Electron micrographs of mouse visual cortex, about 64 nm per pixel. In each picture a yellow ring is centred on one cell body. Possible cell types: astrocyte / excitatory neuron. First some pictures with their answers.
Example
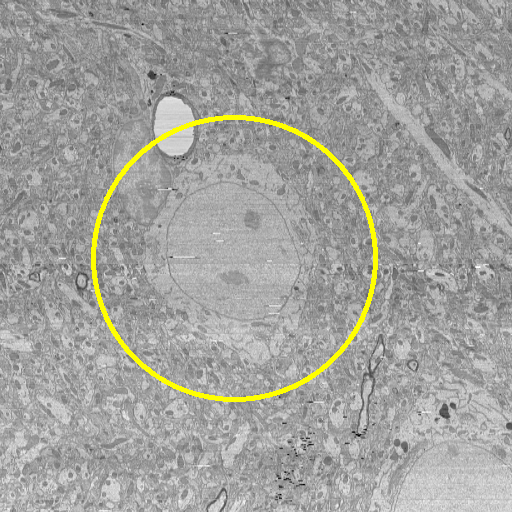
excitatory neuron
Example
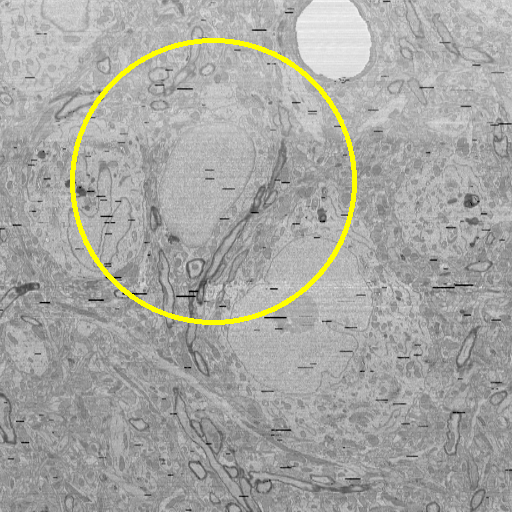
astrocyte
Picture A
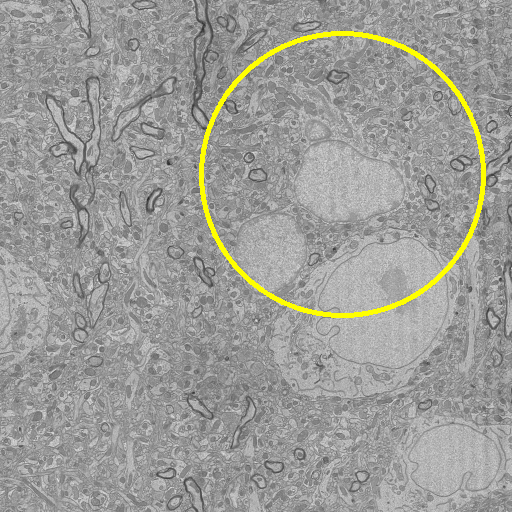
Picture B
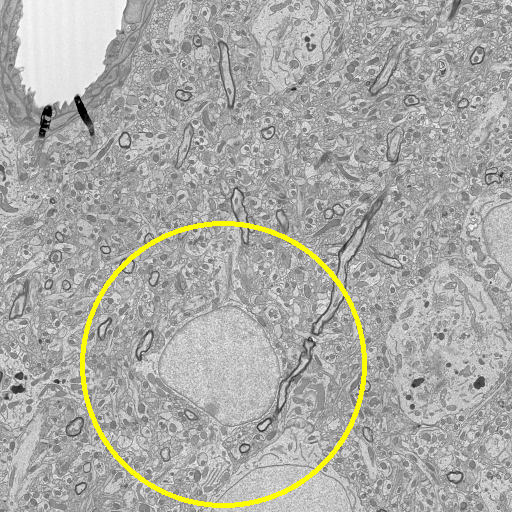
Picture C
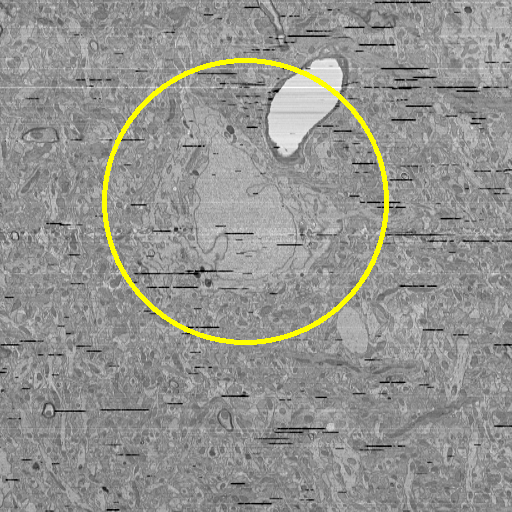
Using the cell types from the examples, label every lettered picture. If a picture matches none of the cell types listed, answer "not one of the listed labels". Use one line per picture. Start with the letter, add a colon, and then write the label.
A: astrocyte
B: astrocyte
C: not one of the listed labels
